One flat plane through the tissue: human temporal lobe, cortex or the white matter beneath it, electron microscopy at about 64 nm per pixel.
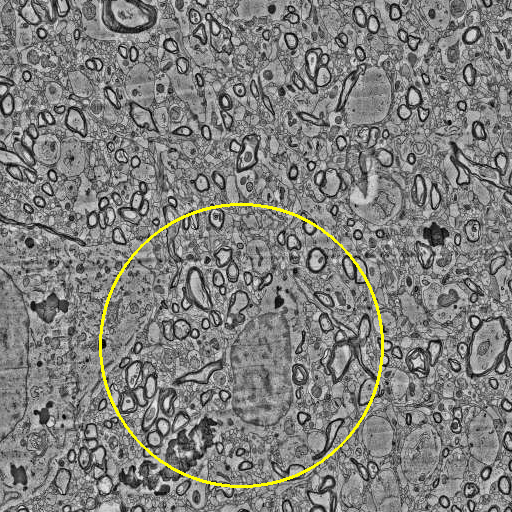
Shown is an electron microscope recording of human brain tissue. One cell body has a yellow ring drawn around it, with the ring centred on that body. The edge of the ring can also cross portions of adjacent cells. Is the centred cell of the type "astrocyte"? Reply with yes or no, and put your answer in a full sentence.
No, in the picture, the cell on which the ring is centred has a different type.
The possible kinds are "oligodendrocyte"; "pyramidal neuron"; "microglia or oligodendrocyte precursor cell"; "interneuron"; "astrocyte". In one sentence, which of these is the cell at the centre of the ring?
The cell this ring marks is an oligodendrocyte.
